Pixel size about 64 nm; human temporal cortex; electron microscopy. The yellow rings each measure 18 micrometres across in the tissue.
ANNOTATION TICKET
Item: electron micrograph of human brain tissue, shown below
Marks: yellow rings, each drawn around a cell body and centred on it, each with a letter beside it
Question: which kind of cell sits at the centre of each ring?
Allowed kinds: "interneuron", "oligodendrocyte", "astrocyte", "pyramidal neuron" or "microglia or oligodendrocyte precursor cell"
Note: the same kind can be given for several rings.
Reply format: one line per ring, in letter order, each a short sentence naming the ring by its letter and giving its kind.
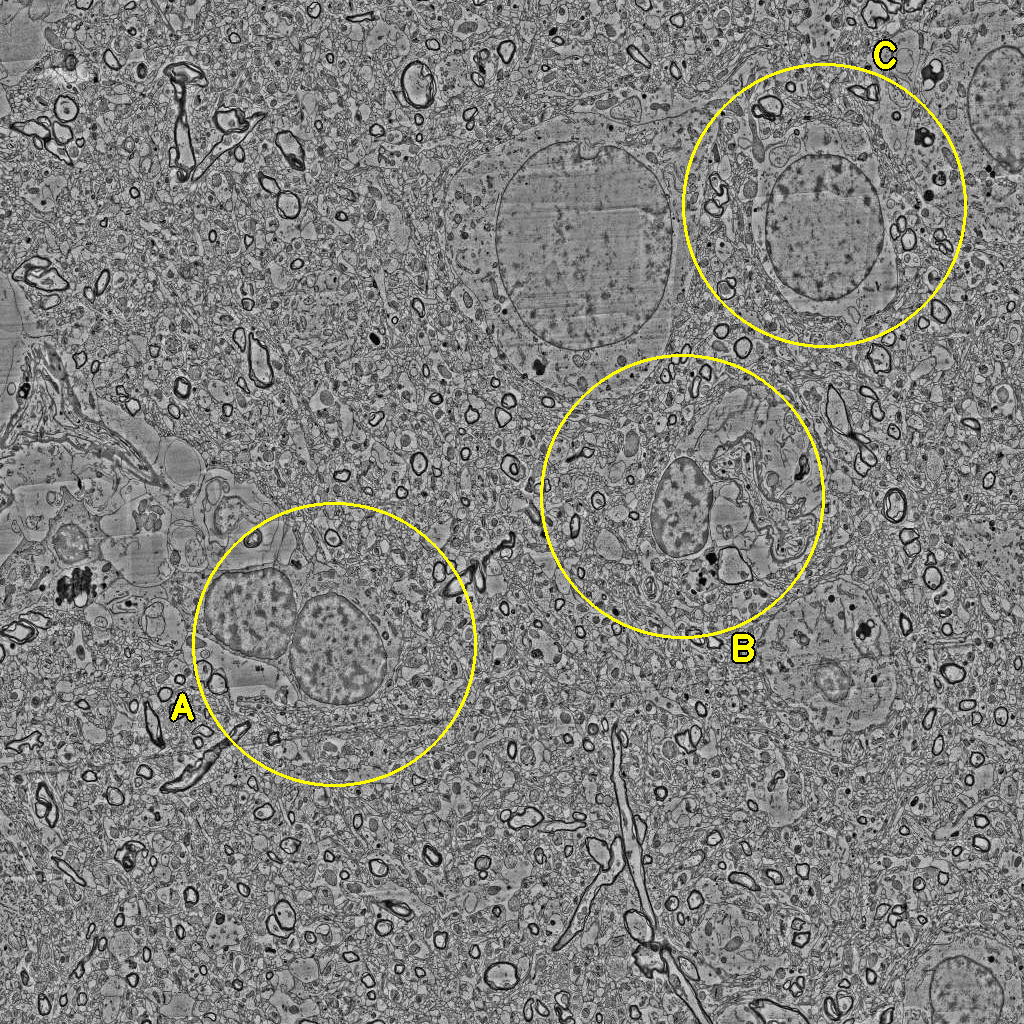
The cell at the centre of ring A is an oligodendrocyte.
The cell at the centre of ring B is a microglial cell or oligodendrocyte precursor cell.
The cell at the centre of ring C is an astrocyte.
